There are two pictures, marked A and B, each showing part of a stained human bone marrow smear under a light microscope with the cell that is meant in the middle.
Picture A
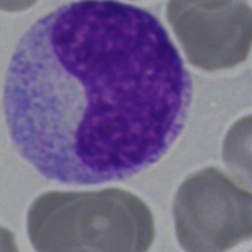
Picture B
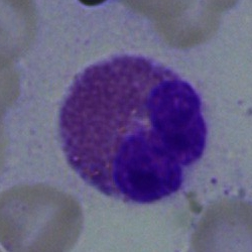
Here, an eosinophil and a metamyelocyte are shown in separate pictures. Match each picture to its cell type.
A: metamyelocyte
B: eosinophil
